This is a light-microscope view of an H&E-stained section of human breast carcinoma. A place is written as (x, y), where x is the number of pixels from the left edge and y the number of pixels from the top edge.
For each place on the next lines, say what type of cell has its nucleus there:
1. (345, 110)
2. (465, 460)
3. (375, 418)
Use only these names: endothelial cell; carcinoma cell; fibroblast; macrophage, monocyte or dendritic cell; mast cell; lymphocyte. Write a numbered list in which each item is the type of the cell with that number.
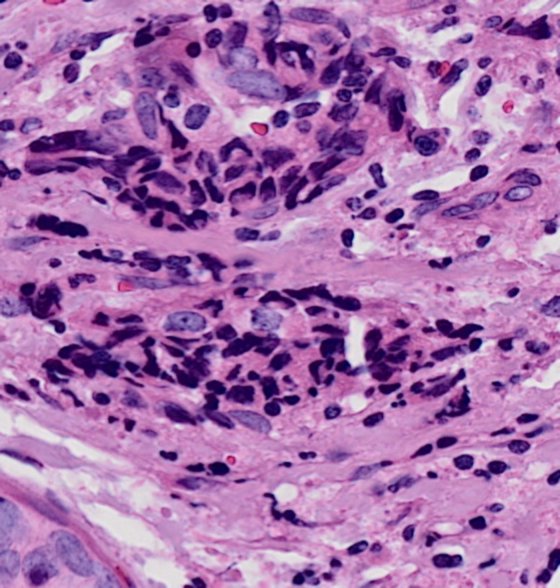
1. carcinoma cell
2. lymphocyte
3. lymphocyte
